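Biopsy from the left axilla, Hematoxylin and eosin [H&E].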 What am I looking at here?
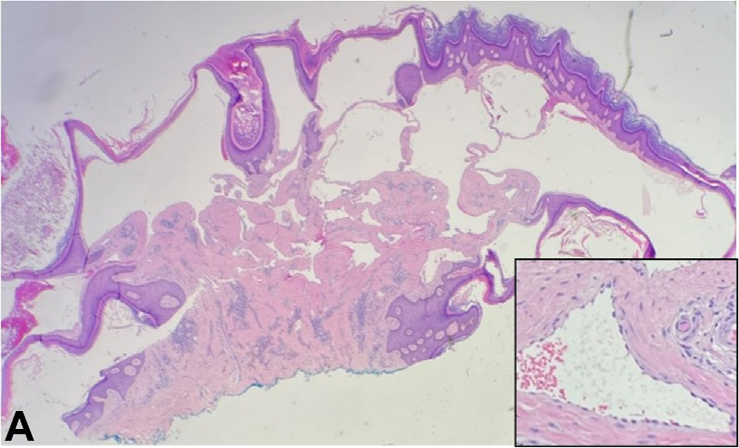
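Low-power view of skin: a purple-staining epidermis runs across the top and dips down at the edges, wrapping around the lesion like a lip. Beneath it, in the superficial dermis, lie many markedly dilated, irregular, thin-walled spaces that branch and connect with one another, mostly empty, set in pink collagenous stroma. An inset shows one such space lined by flattened cells with small dark nuclei and containing red blood cells. These are lymphatic-like vascular spaces proliferating in the superficial dermis, with an epidermal collarette at the margins.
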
